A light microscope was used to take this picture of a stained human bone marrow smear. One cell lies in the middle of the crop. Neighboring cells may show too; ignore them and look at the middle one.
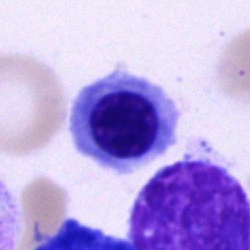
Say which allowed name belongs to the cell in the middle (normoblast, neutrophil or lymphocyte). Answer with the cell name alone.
normoblast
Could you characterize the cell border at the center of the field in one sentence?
The cell is bounded by a ragged or projection-bearing margin rather than a smooth one.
